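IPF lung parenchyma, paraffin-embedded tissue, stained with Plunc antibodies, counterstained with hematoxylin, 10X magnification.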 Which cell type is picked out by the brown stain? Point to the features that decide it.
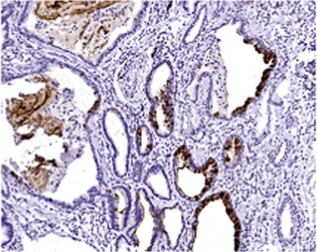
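Brown stain is concentrated in a lining layer of tall epithelial cells around several airway-like lumina. The stained cells form a single row along the lumen surface. The surrounding stroma is counterstained blue and is largely unstained.
Answer: secretory/goblet type of bronchial columnar cells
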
